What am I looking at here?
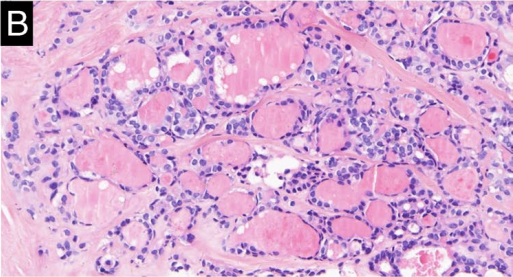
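Thyroid lesion composed of closely packed follicular structures of varying size, most filled with homogeneous pink colloid. Thin strands of pink fibrous stroma run between groups of follicles. A few small follicles are empty or hold pale, bubbly material.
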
